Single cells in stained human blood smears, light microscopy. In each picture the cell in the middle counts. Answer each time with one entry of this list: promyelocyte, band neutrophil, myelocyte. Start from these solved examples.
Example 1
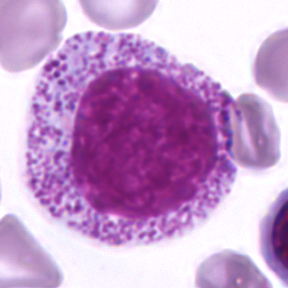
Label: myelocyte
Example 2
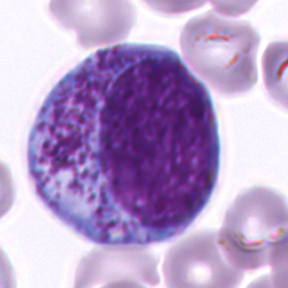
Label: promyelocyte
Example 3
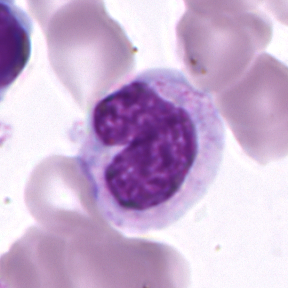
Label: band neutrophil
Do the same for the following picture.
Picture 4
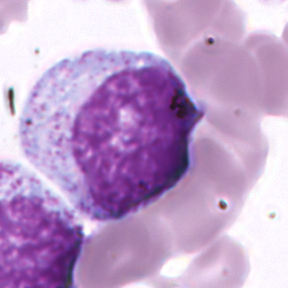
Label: myelocyte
